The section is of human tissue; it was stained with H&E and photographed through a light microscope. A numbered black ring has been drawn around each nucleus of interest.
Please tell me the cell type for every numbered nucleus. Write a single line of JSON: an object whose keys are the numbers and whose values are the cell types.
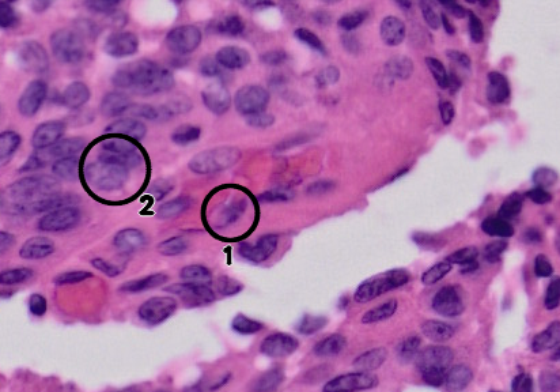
{"1": "endothelial cell", "2": "carcinoma cell"}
